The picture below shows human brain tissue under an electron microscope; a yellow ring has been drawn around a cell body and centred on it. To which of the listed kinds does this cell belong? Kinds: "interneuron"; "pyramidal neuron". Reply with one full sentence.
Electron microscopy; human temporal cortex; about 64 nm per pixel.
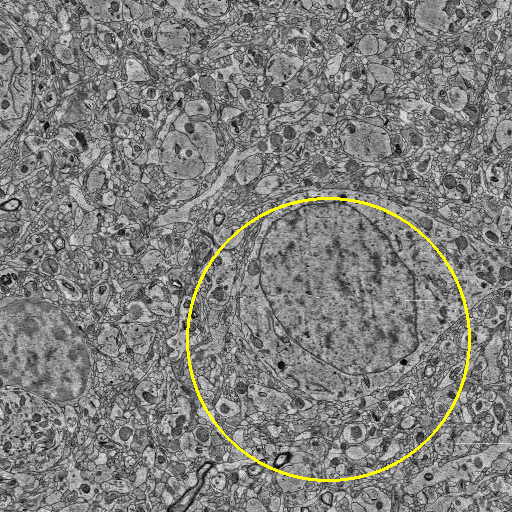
It is a pyramidal neuron that the yellow ring in the picture is centred on.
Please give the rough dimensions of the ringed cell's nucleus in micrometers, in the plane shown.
In this plane the nucleus is about 12 micrometres by 9.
